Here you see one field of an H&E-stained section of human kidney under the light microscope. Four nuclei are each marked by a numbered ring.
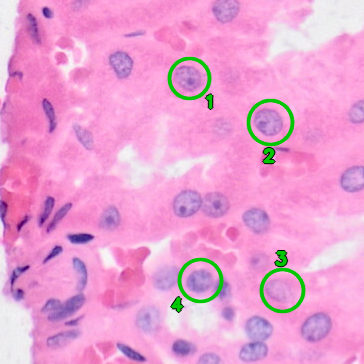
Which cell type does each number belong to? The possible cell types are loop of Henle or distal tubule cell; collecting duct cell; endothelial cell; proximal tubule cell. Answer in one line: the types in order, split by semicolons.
proximal tubule cell; proximal tubule cell; proximal tubule cell; collecting duct cell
